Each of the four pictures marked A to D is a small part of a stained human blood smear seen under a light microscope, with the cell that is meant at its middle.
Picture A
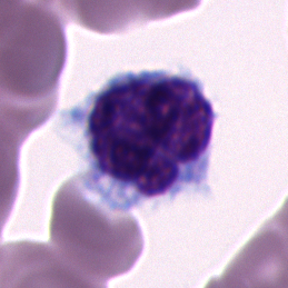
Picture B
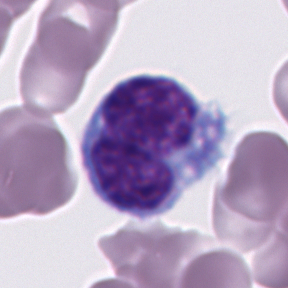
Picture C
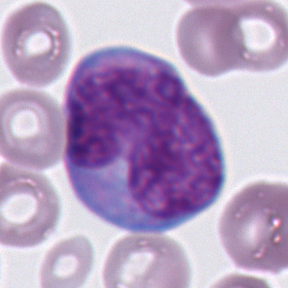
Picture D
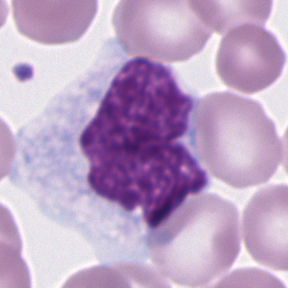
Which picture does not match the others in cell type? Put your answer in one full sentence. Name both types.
The others show monocytes, but picture C shows an atypical promyelocyte.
